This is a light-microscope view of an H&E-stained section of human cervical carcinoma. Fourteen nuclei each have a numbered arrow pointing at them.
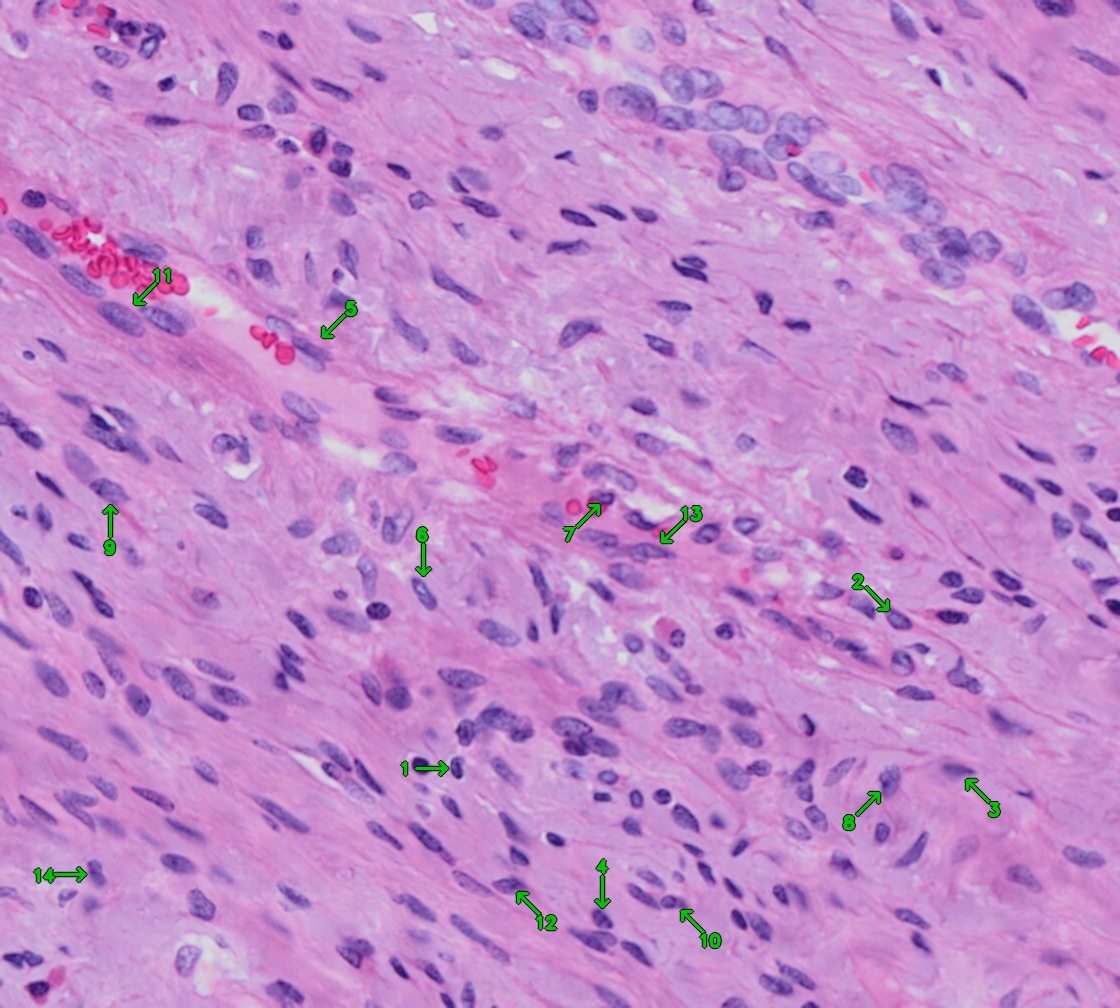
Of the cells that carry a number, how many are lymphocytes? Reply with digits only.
1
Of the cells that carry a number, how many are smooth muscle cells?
1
